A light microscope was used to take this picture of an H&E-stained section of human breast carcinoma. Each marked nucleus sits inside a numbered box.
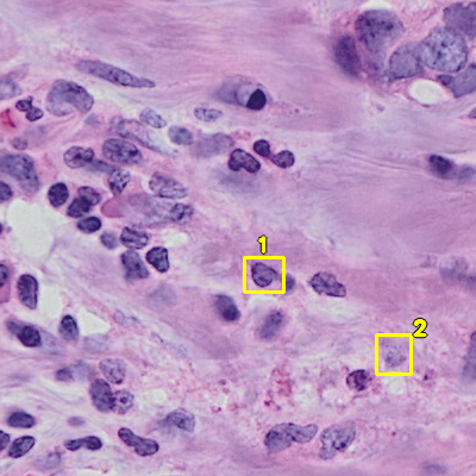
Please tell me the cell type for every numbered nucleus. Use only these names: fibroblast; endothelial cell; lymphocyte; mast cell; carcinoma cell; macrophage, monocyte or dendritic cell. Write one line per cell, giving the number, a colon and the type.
1: lymphocyte
2: fibroblast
